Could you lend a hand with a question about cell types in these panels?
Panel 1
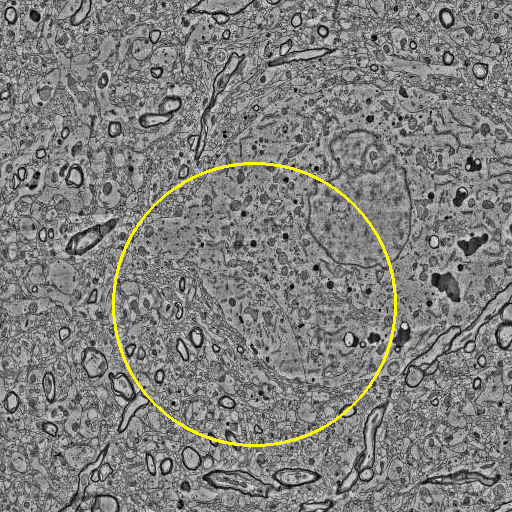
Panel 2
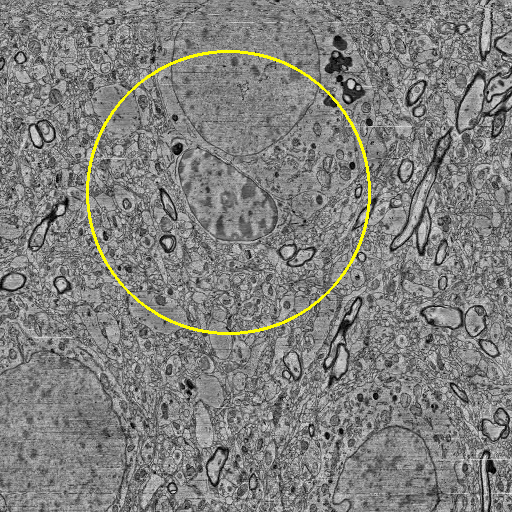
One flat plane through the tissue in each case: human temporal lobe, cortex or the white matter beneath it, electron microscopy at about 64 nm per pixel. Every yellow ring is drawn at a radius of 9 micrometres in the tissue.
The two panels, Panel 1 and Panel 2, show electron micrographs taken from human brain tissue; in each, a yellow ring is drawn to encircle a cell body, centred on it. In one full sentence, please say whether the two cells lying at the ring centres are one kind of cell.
Yes, the cells at the ring centres in the two panels are one kind of cell.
